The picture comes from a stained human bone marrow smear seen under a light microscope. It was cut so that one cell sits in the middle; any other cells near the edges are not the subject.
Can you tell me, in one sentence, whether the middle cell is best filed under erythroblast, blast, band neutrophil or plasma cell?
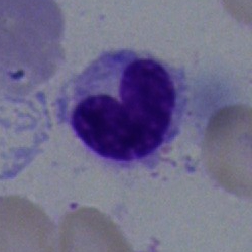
The centrally positioned cell in the crop represents a band neutrophil.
